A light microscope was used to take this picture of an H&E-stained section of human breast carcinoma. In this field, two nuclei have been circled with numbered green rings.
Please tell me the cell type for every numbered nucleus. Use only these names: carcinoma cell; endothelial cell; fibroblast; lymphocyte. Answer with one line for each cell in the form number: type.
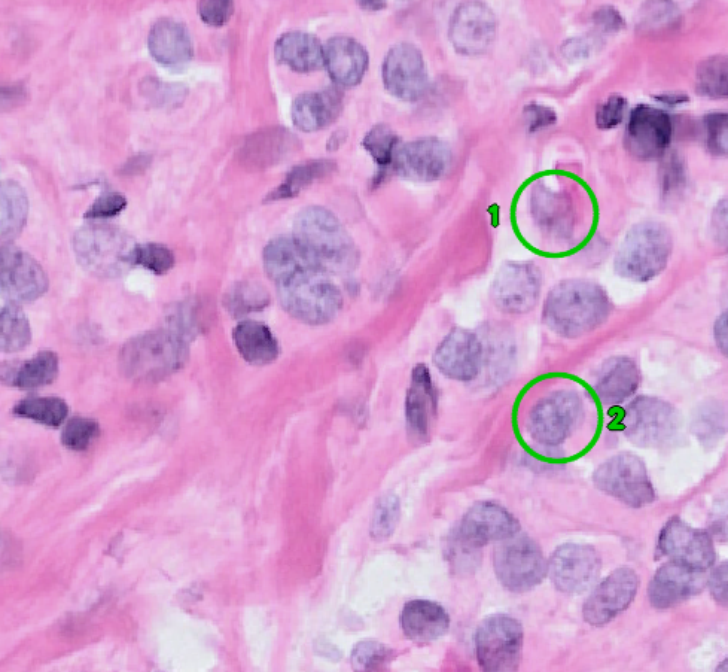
1: endothelial cell
2: carcinoma cell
